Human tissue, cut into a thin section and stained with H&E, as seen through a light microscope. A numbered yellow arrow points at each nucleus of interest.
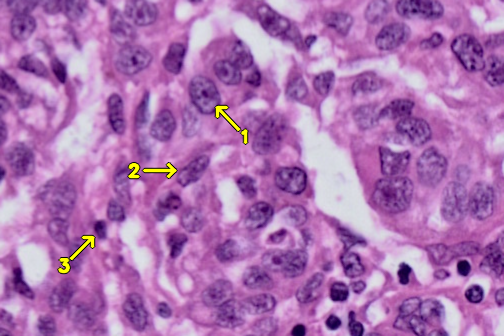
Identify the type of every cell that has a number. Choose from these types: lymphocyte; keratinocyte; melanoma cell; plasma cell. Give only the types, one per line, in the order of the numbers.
melanoma cell
melanoma cell
lymphocyte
